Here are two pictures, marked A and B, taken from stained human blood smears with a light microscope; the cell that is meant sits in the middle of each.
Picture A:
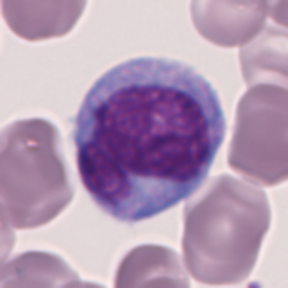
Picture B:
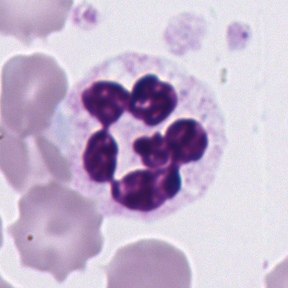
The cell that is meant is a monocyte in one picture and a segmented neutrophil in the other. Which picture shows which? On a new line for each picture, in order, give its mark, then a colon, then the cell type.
A: monocyte
B: segmented neutrophil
